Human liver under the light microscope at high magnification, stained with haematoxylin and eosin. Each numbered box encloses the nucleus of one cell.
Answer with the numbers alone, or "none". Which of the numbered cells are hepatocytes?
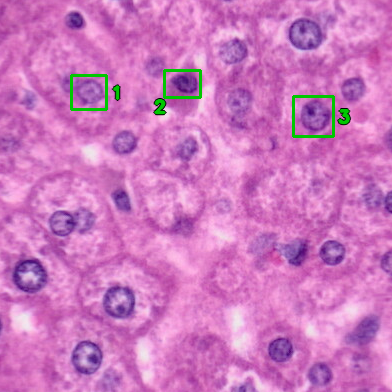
1, 3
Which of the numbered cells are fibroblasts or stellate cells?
none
